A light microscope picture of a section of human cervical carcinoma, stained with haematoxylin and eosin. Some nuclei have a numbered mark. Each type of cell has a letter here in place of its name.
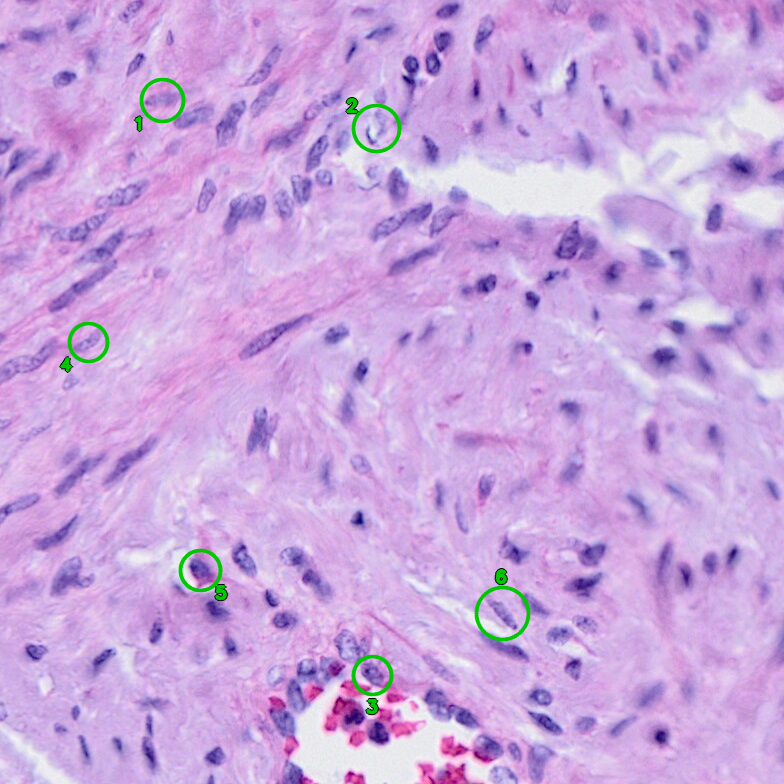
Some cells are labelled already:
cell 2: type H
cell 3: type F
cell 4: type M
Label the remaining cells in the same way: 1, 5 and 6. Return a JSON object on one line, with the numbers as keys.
{"1": "type M", "5": "type F", "6": "type H"}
